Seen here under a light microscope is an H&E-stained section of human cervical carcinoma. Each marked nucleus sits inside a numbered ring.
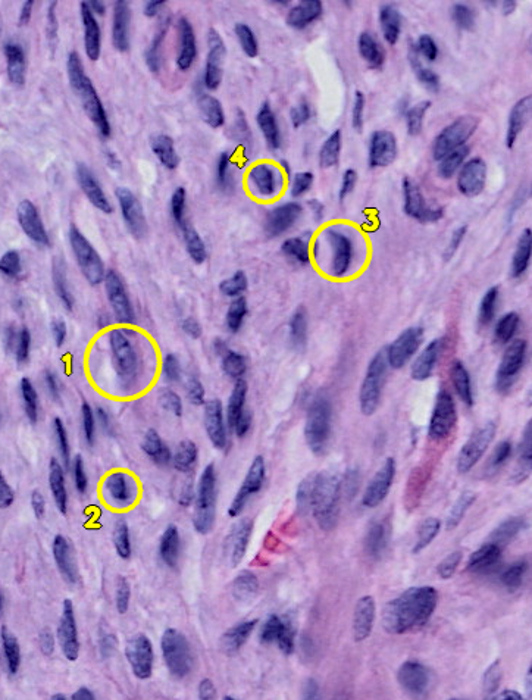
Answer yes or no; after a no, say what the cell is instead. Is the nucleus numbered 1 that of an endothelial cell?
Yes.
